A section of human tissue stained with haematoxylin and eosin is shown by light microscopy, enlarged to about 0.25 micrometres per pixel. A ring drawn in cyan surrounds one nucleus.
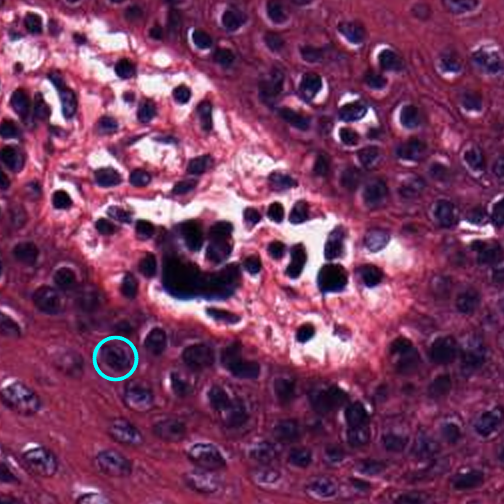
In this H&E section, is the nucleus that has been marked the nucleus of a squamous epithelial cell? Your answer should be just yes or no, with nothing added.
yes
